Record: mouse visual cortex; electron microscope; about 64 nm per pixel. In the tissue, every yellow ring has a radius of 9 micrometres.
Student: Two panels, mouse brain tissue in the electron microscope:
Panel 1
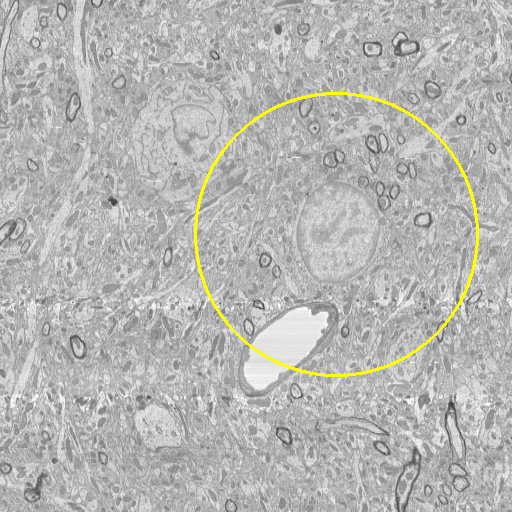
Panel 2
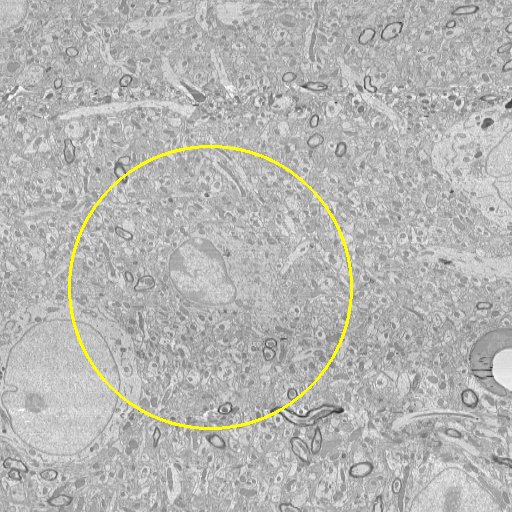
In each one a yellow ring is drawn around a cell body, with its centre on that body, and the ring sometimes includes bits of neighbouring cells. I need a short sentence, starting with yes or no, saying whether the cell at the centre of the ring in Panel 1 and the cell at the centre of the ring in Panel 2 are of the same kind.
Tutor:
Yes, they are the same kind of cell.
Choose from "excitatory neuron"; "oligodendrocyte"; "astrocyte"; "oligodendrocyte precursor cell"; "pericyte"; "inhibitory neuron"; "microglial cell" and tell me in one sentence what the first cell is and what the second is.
Each cell, in the first picture and the second, is an oligodendrocyte.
